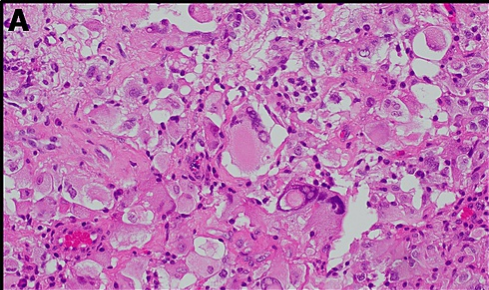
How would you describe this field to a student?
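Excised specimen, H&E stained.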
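Tumour tissue is composed of large pleomorphic cells with enlarged, irregular, bizarrely shaped dark nuclei, including a giant cell with several lobulated nuclei. Many cells have pale, clear, vacuolated and foamy cytoplasm, and some contain large clear vacuoles. Small dark round nuclei of scattered inflammatory cells and a few red blood cells lie among the tumour cells in a pink fibrillary background.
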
